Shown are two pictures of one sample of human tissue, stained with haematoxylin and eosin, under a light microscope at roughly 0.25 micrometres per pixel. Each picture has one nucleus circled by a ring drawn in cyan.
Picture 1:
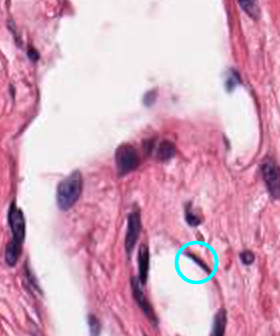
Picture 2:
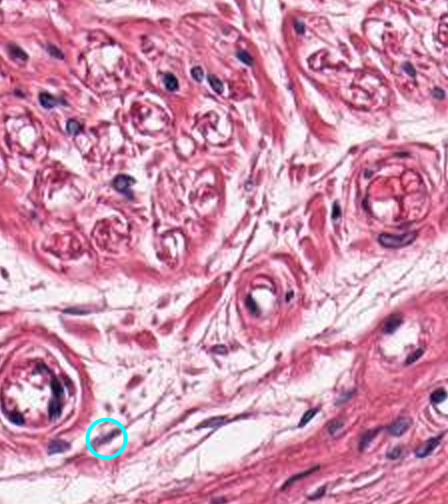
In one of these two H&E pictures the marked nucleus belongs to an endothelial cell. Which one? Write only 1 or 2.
1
